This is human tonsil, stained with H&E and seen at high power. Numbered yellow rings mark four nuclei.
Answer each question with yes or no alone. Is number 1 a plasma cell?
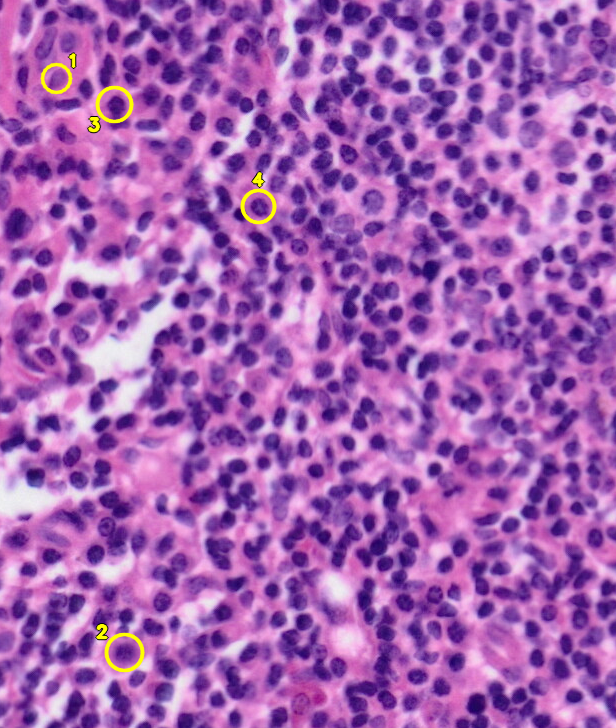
no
